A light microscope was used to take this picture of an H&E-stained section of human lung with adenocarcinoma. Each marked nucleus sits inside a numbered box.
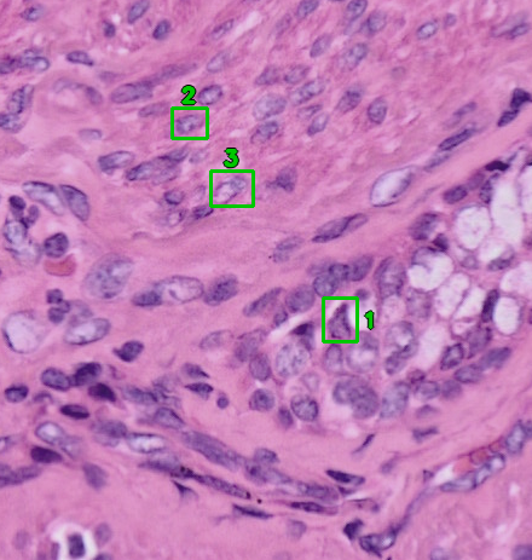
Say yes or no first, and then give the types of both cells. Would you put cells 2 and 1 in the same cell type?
No, cell 2 is a smooth muscle cell or pericyte and cell 1 is a ciliated epithelial cell.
